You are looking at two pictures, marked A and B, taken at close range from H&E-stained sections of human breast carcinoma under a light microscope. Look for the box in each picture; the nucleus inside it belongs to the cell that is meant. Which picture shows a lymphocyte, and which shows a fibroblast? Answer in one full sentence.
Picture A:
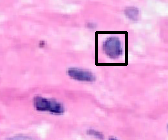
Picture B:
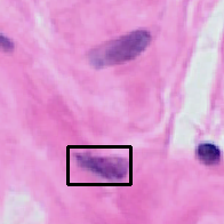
Picture B shows a fibroblast, while picture A shows a lymphocyte.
